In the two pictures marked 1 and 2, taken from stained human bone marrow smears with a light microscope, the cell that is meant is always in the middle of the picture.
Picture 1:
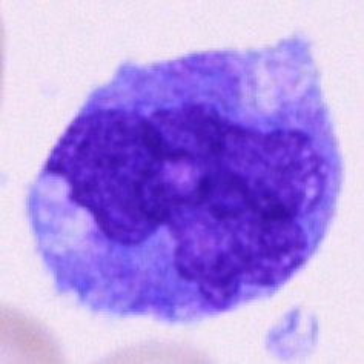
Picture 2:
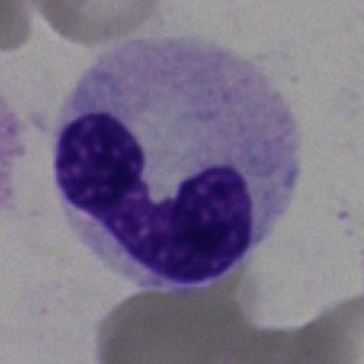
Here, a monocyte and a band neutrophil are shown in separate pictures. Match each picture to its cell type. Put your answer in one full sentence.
Picture 1 shows a monocyte and picture 2 shows a band neutrophil.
